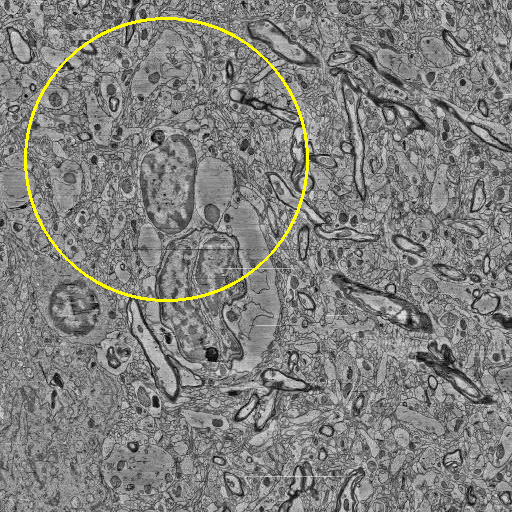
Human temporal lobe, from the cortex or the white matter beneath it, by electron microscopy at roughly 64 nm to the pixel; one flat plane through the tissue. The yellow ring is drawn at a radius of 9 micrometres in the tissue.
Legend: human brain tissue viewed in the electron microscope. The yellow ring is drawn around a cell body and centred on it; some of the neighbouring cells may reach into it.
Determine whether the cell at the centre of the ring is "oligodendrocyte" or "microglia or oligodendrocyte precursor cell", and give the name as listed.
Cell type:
microglia or oligodendrocyte precursor cell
